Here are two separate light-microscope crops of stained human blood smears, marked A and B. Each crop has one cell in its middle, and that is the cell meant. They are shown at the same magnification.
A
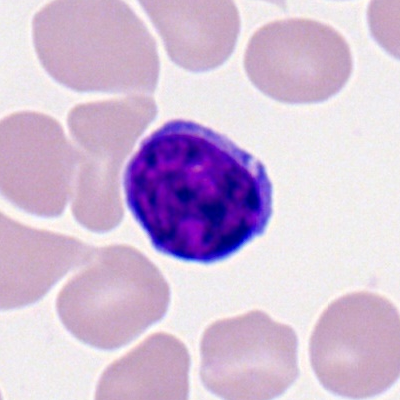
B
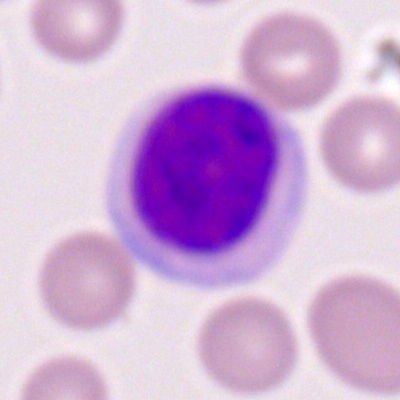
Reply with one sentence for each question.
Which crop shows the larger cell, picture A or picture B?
It is the cell in picture B, about 2 times as large in area as the cell in picture A.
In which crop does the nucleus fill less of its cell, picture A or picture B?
Of the two, the nucleus in picture B leaves more room for cytoplasm.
